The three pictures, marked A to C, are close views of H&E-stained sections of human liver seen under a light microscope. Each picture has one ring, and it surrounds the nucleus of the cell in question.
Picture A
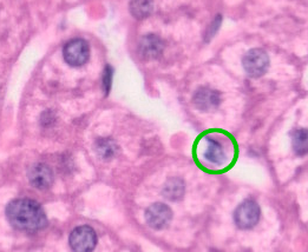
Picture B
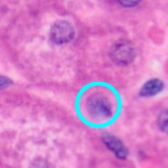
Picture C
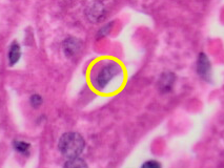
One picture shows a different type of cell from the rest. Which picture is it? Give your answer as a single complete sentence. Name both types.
Picture C differs, because its cell is a Kupffer cell and the rest are endothelial cells.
